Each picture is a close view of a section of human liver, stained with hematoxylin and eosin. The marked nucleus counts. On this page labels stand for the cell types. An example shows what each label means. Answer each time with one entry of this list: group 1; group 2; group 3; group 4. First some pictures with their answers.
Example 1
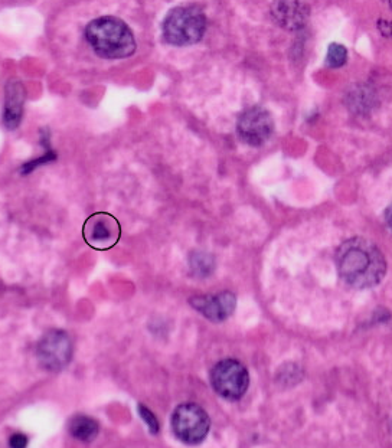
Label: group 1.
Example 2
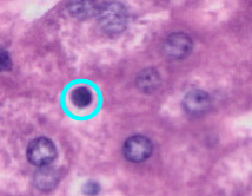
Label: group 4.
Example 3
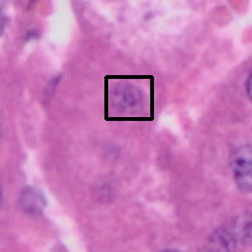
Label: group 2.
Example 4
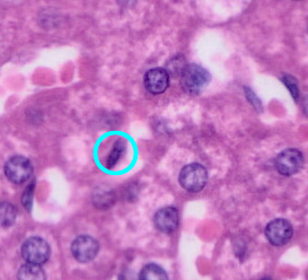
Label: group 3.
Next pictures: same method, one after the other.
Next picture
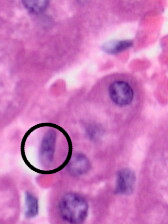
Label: group 3.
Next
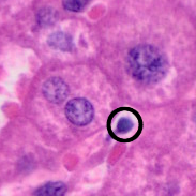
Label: group 4.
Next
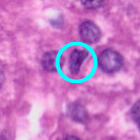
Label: group 1.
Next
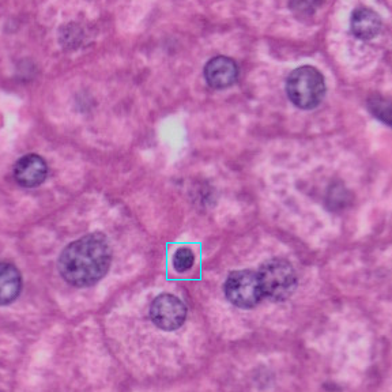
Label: group 4.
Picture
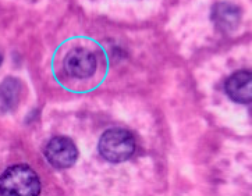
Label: group 2.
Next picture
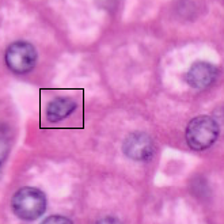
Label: group 1.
